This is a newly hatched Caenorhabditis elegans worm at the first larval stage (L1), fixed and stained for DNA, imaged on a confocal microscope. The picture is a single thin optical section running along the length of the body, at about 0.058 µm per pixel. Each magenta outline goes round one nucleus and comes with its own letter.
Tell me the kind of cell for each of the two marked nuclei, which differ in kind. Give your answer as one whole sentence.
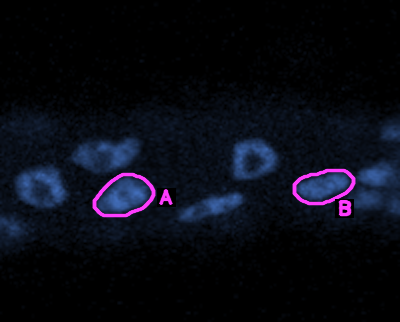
A belongs to a P cell (ventral epidermal blast cell) and B to an enteric muscle cell.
